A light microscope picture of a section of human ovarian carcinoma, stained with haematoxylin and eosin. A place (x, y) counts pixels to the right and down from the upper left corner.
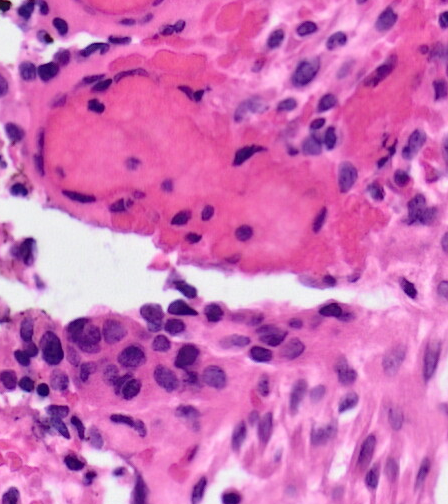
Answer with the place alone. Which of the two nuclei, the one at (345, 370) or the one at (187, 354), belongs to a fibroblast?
(345, 370)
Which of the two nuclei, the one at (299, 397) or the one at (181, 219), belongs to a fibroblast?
(299, 397)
